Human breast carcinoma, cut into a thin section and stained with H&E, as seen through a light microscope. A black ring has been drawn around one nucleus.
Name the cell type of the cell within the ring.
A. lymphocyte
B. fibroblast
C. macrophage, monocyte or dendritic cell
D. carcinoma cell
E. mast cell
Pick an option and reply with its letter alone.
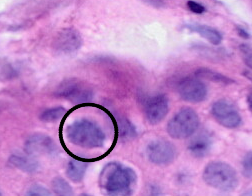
D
